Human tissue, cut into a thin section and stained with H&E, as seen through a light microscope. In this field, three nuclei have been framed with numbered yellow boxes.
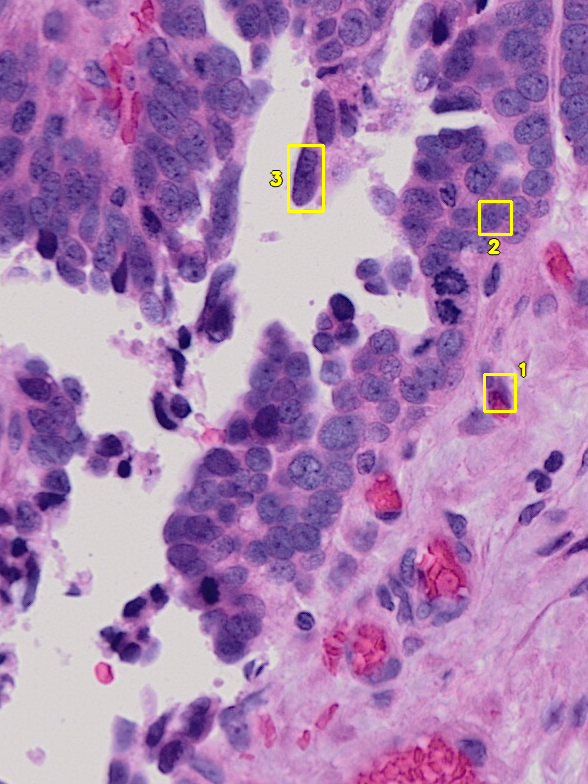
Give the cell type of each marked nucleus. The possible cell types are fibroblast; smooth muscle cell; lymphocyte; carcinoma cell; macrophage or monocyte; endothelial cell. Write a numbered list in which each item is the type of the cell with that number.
1. endothelial cell
2. carcinoma cell
3. carcinoma cell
